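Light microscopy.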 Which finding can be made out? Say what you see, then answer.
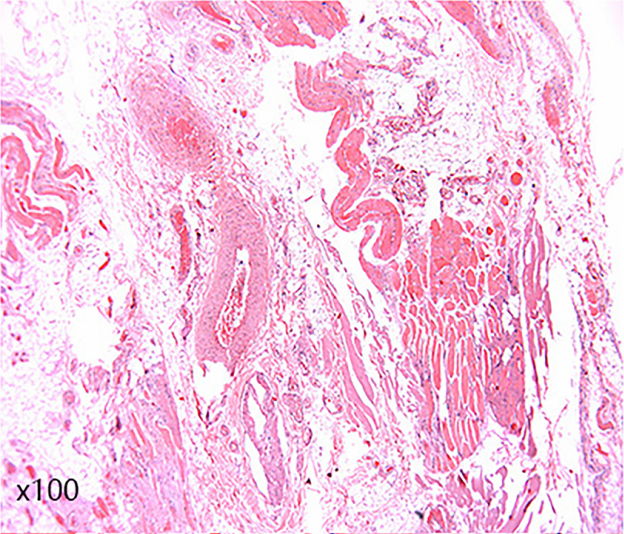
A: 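Variation in muscle fiber size. Pink muscle fibers of clearly different widths lie side by side. Some fibers are thin while others in the same field are much broader.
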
